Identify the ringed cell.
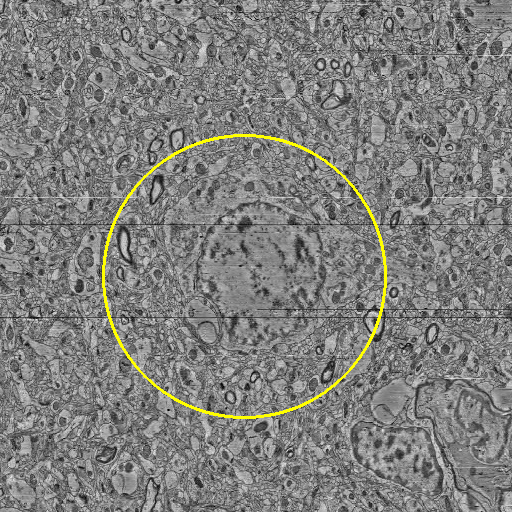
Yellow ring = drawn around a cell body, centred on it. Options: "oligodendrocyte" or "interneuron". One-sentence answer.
What the ring is centred on is an interneuron.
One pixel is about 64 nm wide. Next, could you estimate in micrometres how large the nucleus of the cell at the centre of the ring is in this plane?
The nucleus is about 9 micrometres across in this plane.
